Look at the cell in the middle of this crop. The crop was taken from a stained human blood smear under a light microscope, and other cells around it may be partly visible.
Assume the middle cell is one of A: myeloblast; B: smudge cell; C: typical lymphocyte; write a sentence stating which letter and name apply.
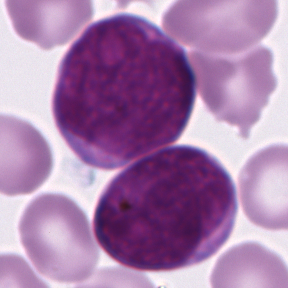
Located in the middle of the crop is a myeloblast, and option A is therefore correct.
